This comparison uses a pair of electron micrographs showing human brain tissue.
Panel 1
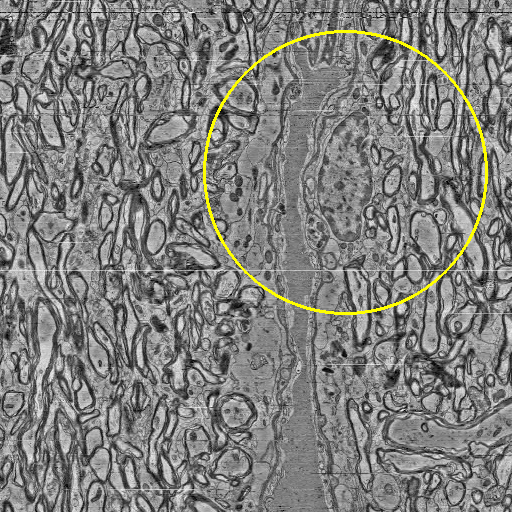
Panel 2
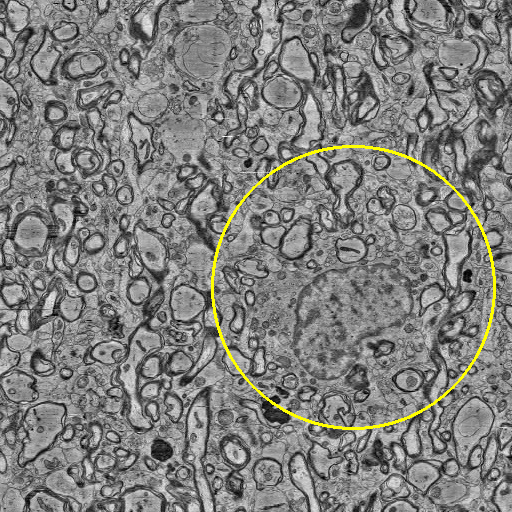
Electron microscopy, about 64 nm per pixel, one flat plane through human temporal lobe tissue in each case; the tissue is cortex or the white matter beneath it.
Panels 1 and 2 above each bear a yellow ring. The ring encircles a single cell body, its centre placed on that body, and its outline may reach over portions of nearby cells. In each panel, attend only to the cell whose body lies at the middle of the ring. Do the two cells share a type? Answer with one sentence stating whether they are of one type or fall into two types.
In Panel 1 and Panel 2, the cells at the centres of the rings fall into two types.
